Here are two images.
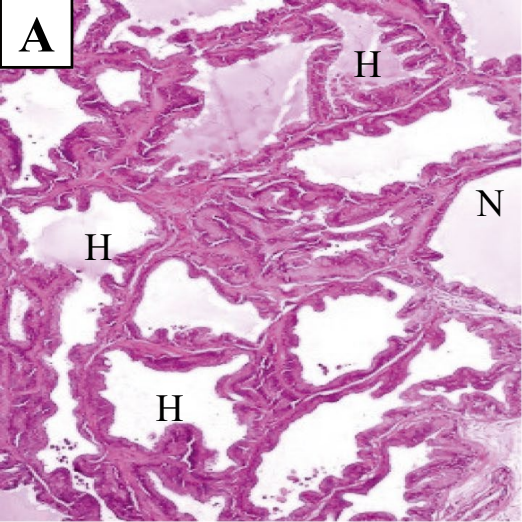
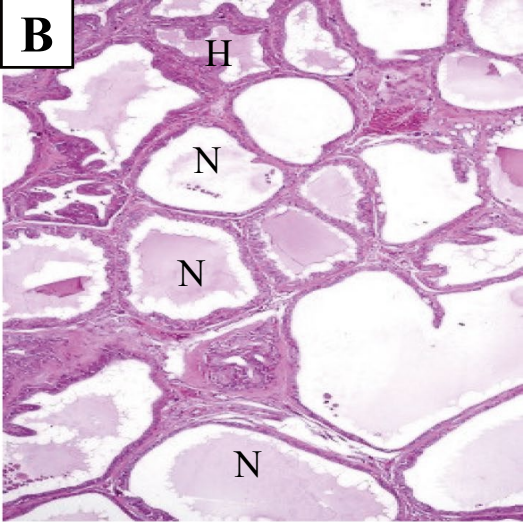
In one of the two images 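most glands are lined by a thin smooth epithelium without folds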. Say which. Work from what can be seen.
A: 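The second image. First image: most glands have irregular, folded, thickened epithelial linings. Second image: most glands are round with thin, smooth linings around pale pink secretion.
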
